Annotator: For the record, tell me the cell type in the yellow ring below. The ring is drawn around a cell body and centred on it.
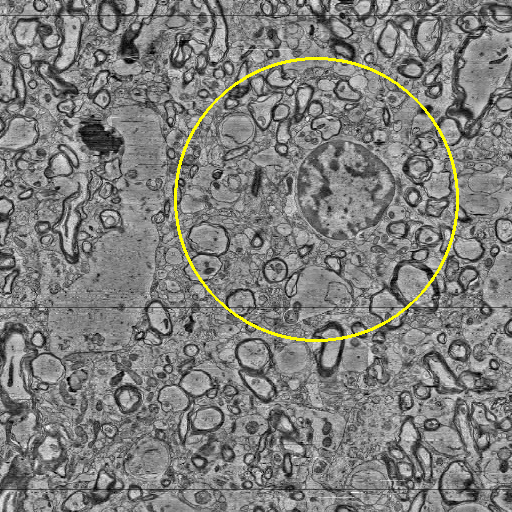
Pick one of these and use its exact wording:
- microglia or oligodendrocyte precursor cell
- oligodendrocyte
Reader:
microglia or oligodendrocyte precursor cell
